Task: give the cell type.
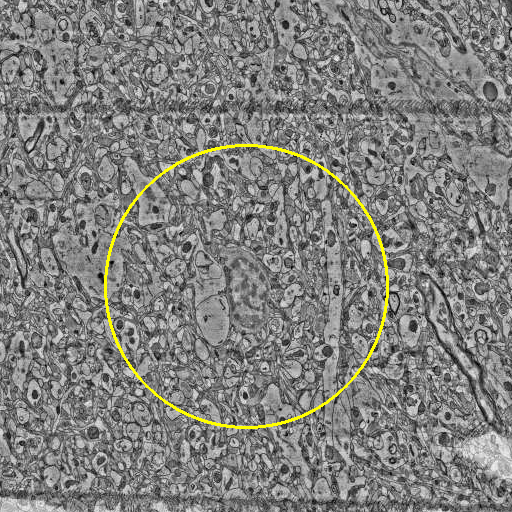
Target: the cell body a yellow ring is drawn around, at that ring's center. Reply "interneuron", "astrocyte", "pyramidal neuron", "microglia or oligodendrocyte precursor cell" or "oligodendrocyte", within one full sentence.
In this picture, the cell whose body lies at the ring's center is an oligodendrocyte.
